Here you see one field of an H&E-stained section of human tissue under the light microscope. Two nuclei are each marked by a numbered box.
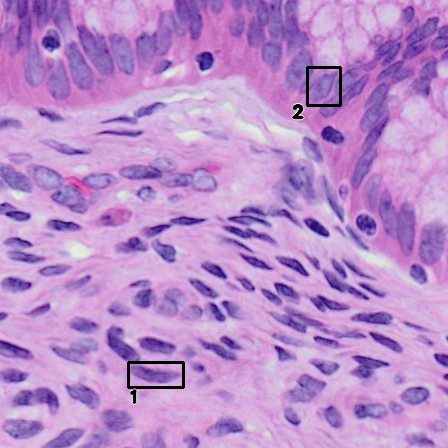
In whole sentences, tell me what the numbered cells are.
Cell 1 is a fibroblast. Cell 2 is a secretory epithelial cell.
